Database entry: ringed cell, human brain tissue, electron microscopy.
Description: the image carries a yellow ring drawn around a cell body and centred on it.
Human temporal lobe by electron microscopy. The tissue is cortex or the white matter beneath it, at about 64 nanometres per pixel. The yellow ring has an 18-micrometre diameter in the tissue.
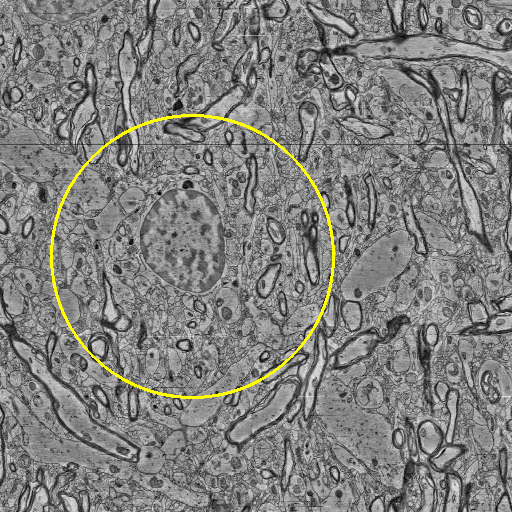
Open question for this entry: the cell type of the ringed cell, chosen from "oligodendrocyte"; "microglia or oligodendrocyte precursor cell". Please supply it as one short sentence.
The ringed cell is a microglial cell or oligodendrocyte precursor cell.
